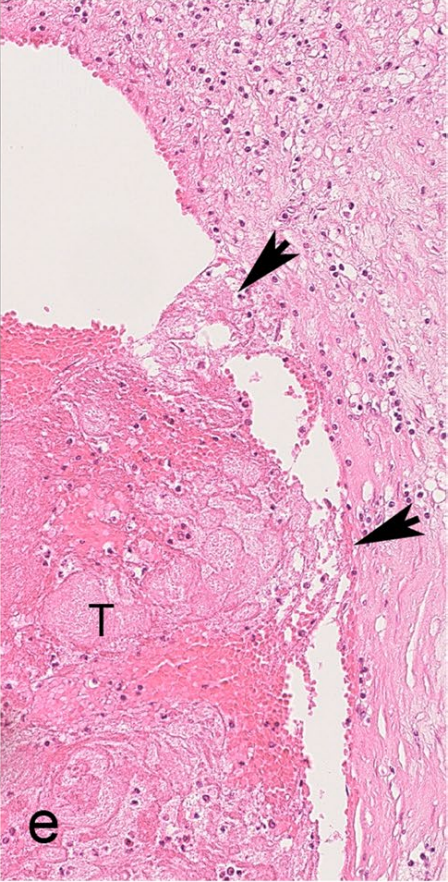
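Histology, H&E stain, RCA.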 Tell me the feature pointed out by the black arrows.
Eroded plaque surface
